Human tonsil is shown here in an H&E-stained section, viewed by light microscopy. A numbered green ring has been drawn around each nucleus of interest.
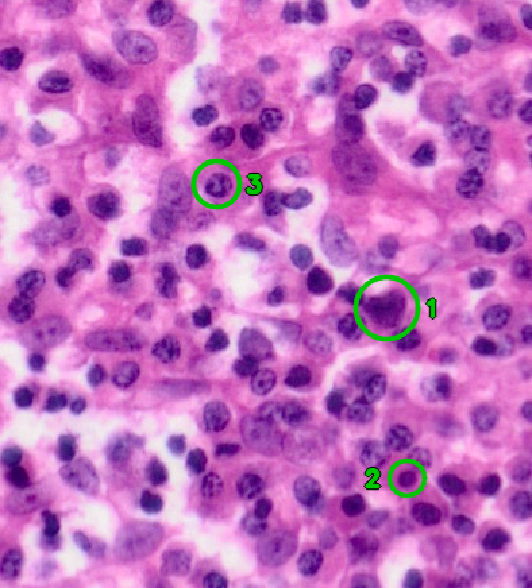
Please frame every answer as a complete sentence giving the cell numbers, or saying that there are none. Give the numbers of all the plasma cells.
Identification: the cells with numbers 2 and 3 are plasma cells.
